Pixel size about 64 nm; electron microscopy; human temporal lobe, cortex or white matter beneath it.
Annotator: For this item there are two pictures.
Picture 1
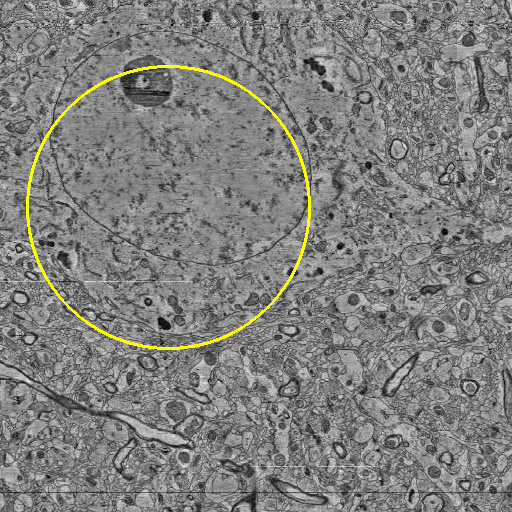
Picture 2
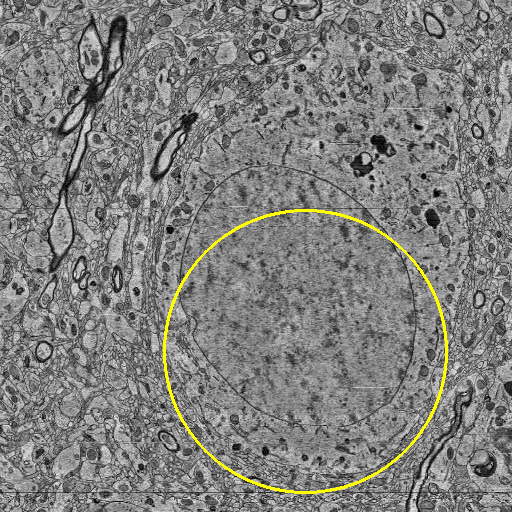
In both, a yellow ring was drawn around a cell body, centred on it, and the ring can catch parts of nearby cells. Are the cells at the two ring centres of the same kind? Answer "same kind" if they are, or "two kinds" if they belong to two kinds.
same kind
